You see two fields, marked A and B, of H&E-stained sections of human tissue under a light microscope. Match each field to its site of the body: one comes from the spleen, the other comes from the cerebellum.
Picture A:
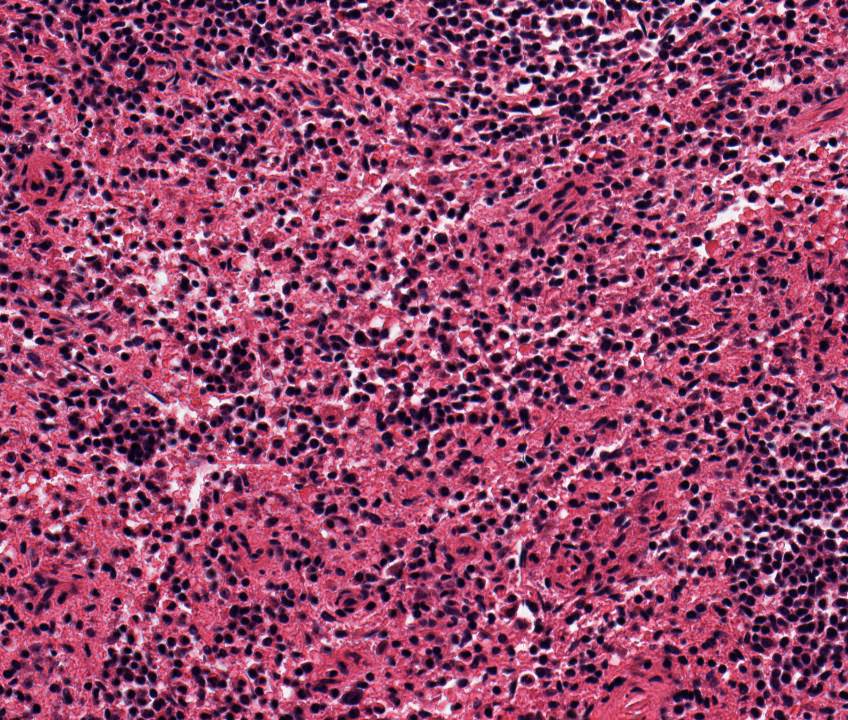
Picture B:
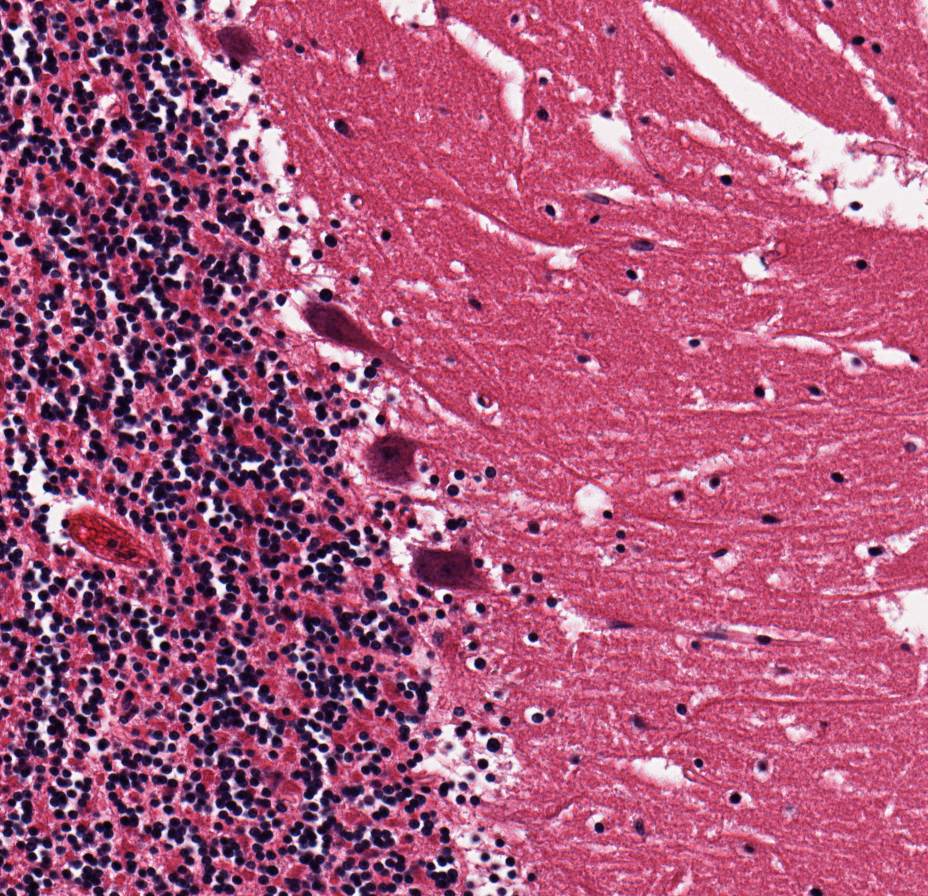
A: spleen
B: cerebellum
